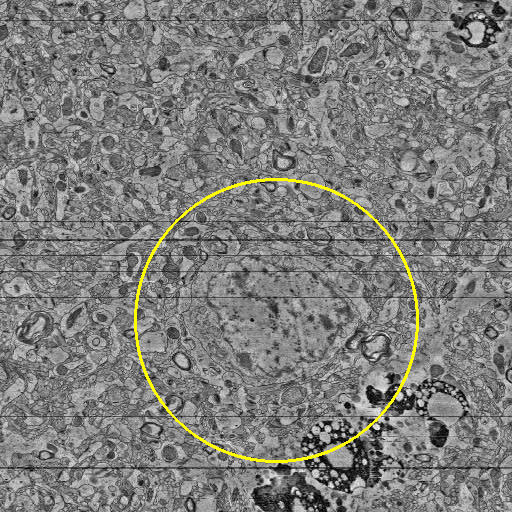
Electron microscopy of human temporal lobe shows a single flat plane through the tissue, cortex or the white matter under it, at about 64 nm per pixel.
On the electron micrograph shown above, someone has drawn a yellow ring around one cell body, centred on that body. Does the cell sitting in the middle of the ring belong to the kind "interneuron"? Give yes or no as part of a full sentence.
Yes, the cell located in the middle of the ring in the micrograph is of that kind.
